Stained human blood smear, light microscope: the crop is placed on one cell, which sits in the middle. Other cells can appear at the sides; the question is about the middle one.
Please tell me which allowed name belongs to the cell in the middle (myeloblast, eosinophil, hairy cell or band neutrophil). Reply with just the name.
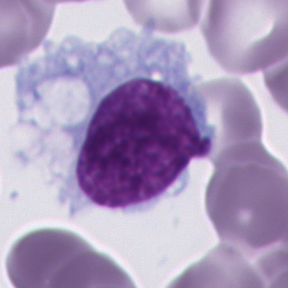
hairy cell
